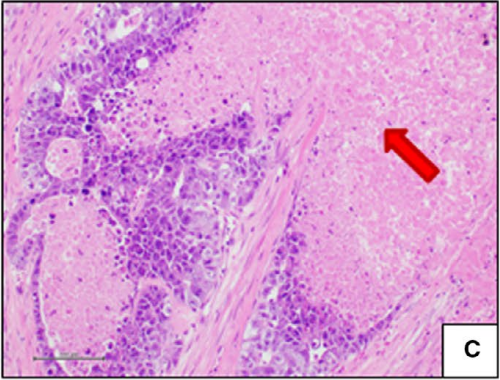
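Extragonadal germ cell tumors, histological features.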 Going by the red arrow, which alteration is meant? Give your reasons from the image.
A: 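The arrow points at a large pink area without intact nuclei. Viable purple tumour cells border the pink area.
Hence: Coagulative necrosis.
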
